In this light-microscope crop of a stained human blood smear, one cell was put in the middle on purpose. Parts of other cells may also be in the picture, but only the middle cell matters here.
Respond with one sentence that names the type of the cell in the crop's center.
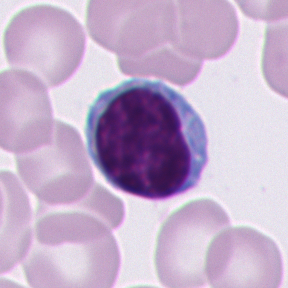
The central element of this crop is a cell, namely a typical lymphocyte.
